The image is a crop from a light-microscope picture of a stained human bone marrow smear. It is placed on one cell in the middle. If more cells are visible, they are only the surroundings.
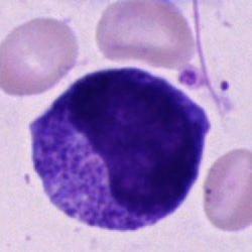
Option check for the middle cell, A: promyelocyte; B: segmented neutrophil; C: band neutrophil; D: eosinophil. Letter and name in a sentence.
The correct choice is option A, which identifies the middle cell as a promyelocyte.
